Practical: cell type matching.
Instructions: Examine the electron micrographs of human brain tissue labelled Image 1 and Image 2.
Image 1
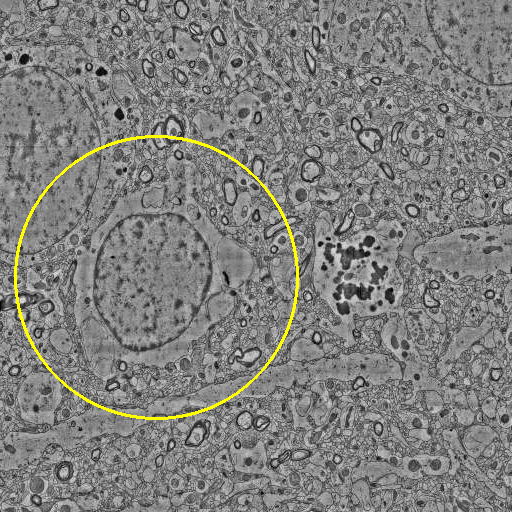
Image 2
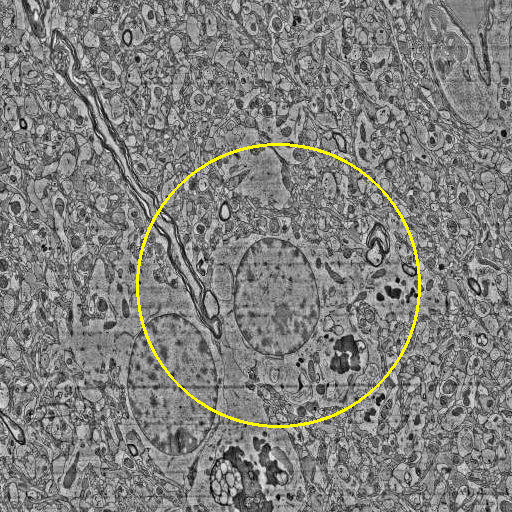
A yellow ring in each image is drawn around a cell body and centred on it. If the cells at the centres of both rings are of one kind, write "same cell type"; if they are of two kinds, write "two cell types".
same cell type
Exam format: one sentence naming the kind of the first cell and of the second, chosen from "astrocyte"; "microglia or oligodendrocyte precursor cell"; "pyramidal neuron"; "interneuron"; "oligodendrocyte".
Each cell, in the first picture and the second, is an astrocyte.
